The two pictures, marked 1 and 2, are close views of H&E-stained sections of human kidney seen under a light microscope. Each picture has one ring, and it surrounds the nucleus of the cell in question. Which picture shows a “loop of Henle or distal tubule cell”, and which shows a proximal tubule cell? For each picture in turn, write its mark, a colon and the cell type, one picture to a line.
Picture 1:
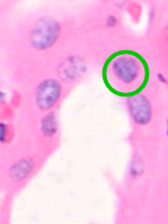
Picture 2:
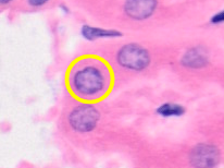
1: loop of Henle or distal tubule cell
2: proximal tubule cell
